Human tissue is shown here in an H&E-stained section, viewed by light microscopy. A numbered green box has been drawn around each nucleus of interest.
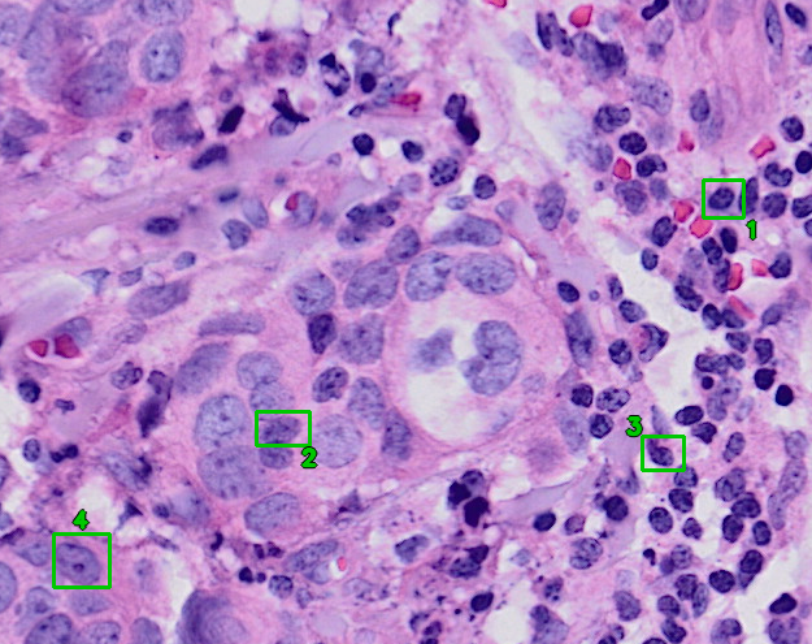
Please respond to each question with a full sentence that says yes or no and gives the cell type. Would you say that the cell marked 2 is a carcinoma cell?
Yes, the cell whose number is 2 is a carcinoma cell.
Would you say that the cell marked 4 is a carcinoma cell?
Yes, the cell marked with number 4 is a carcinoma cell.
